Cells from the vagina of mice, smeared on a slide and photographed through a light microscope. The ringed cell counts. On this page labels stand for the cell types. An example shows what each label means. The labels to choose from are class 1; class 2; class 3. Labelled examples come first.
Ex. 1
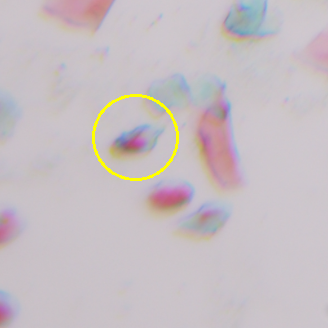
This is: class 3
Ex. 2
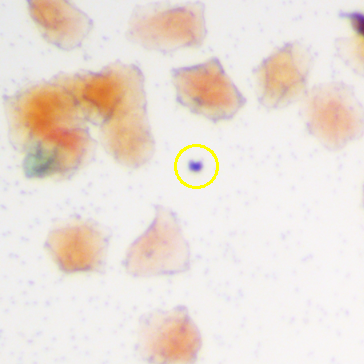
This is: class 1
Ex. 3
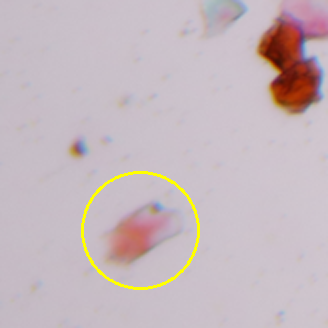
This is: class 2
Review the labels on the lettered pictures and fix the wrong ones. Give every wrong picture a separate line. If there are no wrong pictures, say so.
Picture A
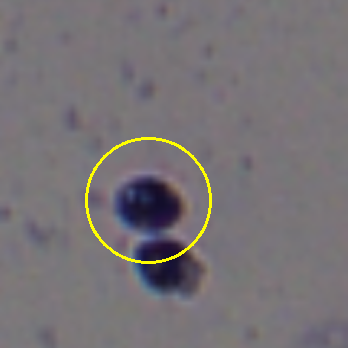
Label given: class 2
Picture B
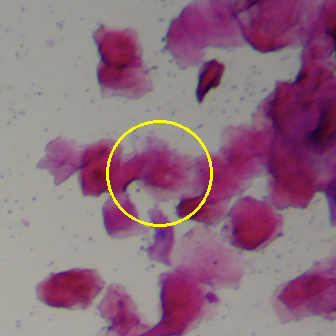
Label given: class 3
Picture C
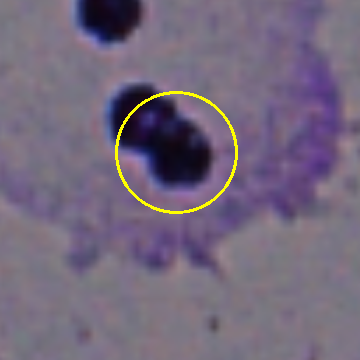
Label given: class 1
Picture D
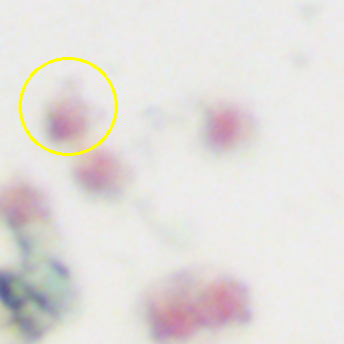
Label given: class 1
A: class 1, not class 2
B: class 2, not class 3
